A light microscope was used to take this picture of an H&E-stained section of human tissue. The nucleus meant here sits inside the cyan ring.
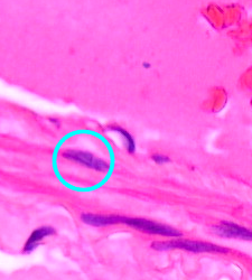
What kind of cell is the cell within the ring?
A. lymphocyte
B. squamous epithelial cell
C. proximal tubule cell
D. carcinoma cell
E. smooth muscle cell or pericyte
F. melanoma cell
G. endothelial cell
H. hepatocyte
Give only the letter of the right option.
E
